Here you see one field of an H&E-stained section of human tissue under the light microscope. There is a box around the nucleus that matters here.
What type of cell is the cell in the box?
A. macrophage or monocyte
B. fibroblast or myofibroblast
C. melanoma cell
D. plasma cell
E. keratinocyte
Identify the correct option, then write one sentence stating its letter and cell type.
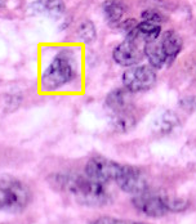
Option C is the right choice, for the cell in the box is a melanoma cell.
